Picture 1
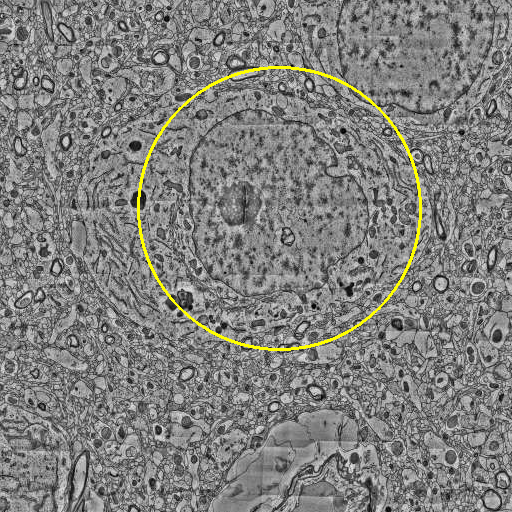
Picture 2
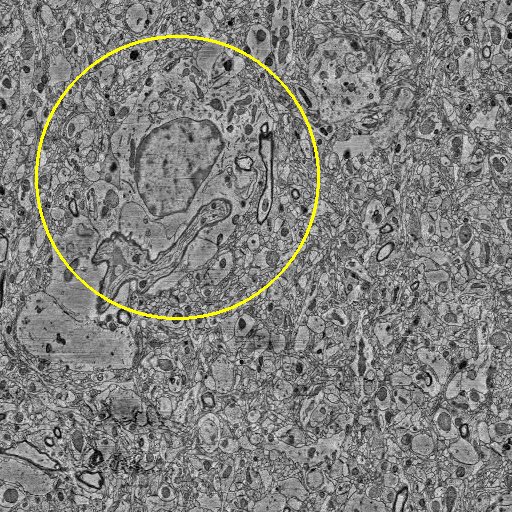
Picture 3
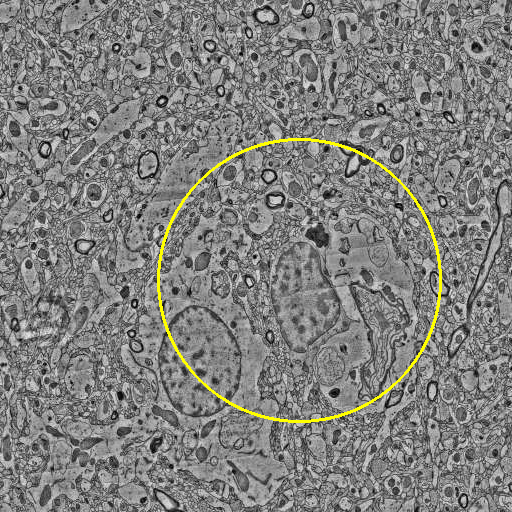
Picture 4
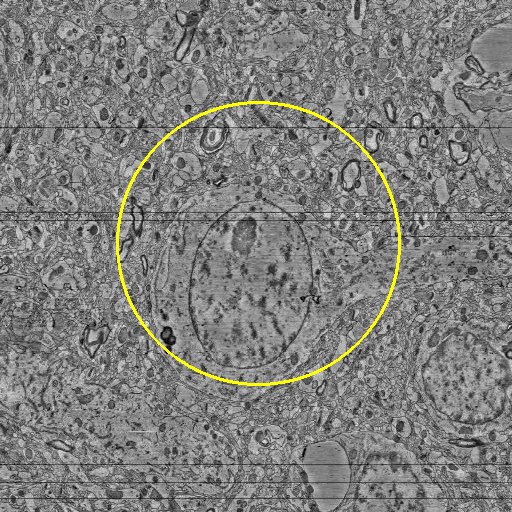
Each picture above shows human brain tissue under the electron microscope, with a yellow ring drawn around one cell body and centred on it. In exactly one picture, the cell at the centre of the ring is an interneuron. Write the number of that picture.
1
